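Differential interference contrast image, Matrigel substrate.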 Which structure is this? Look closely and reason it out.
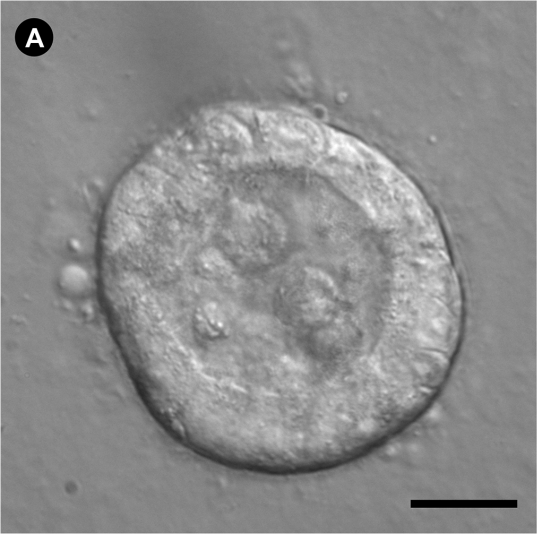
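A rounded hollow ball bounded by a continuous rim of cells. A central cavity containing a few loose rounded bodies.
Conclusion: cyst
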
